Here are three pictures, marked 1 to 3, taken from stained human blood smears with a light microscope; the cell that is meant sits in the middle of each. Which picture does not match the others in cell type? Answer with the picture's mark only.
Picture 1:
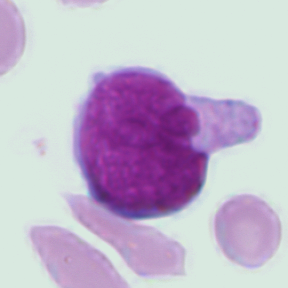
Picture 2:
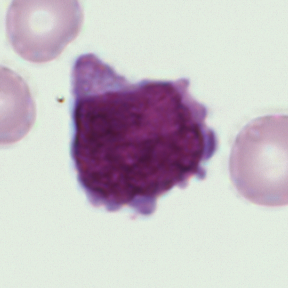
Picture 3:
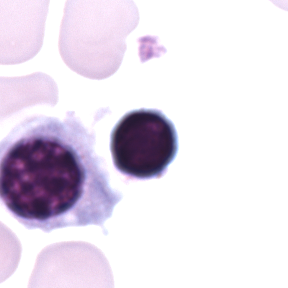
3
